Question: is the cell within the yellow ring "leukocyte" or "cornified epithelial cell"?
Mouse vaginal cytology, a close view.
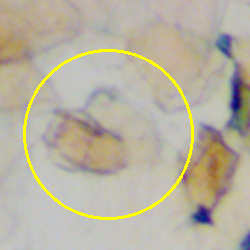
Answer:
cornified epithelial cell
